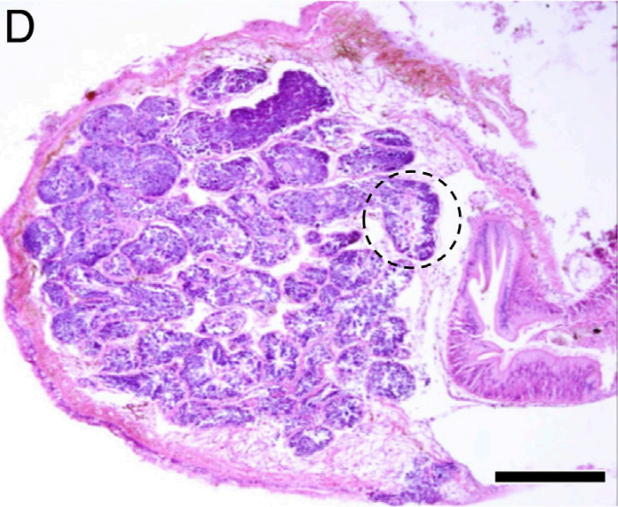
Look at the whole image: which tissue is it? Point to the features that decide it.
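A capsule-bound organ packed with many rounded lobes of densely purple-stained small cells. That points to this answer: testis.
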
